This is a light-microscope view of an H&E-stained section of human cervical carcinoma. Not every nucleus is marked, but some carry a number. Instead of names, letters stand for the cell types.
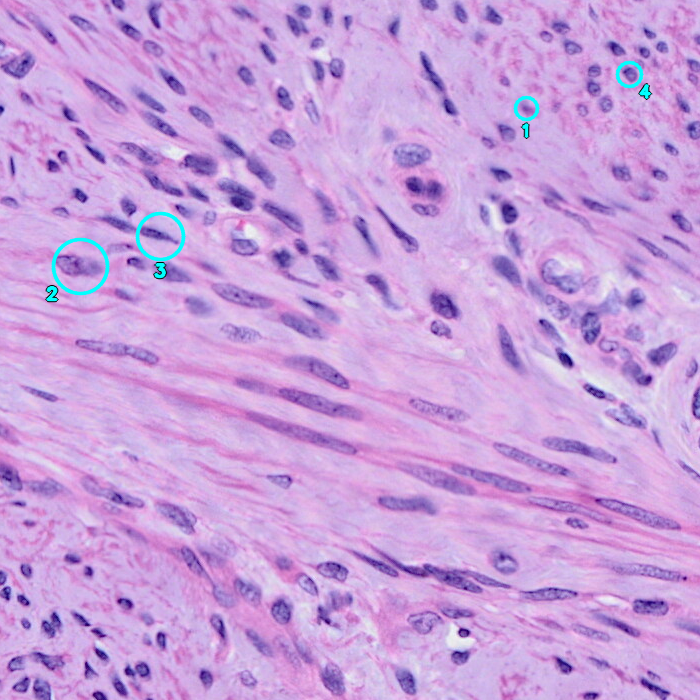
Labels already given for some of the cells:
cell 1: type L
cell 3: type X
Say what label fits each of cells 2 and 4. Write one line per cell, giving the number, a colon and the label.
2: type L
4: type L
